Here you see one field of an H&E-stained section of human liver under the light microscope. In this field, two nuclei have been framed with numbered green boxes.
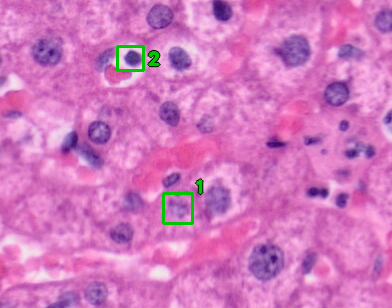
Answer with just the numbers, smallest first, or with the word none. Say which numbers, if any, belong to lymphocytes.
2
